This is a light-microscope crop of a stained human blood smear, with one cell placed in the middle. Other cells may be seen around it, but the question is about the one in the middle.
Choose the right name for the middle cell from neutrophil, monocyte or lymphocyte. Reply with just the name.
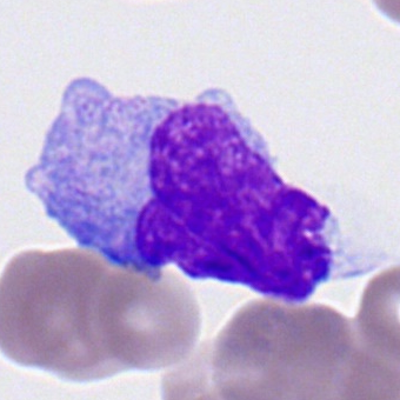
monocyte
